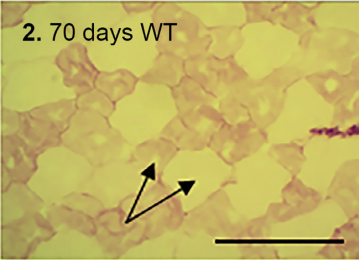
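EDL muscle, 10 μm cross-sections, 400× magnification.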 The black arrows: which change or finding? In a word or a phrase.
a darkly stained fiber next to a weakly stained fiber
